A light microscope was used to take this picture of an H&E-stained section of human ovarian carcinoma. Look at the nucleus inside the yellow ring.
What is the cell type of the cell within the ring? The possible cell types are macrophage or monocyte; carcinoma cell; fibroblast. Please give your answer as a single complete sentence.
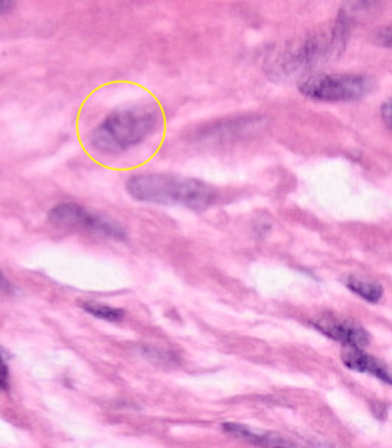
On this particular slide, the cell within the ring is a fibroblast.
